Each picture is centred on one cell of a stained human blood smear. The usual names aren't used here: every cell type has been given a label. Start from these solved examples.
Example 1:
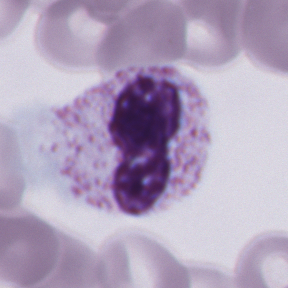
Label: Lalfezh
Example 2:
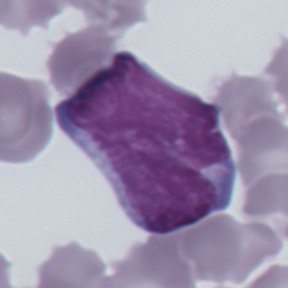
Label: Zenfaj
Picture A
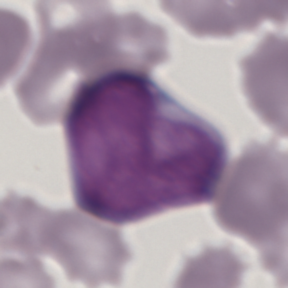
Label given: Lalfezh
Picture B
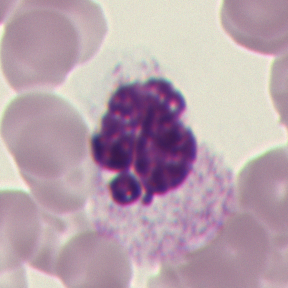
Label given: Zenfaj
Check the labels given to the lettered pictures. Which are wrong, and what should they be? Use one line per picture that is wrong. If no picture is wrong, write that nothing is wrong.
A is labelled Lalfezh; correct label: Zenfaj
B is labelled Zenfaj; correct label: Lalfezh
